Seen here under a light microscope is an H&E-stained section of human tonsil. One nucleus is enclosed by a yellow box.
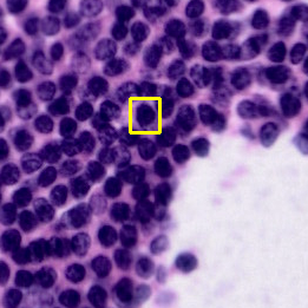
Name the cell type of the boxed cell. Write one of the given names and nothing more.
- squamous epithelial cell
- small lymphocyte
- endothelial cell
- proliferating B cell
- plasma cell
small lymphocyte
